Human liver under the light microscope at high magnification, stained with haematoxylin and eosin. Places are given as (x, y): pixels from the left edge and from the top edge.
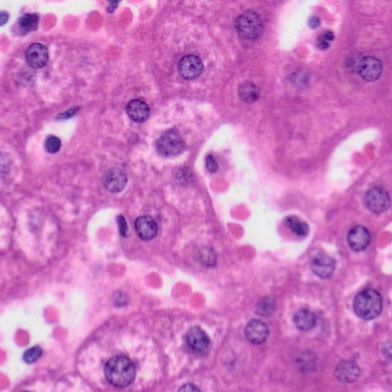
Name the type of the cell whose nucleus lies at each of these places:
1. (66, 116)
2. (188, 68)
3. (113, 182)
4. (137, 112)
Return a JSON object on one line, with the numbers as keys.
{"1": "endothelial cell", "2": "hepatocyte", "3": "hepatocyte", "4": "hepatocyte"}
